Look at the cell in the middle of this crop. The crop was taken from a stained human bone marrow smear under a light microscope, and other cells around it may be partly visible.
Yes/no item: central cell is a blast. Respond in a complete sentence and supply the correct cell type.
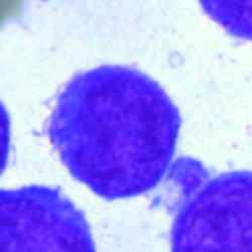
Yes, in the middle of the crop is a blast.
